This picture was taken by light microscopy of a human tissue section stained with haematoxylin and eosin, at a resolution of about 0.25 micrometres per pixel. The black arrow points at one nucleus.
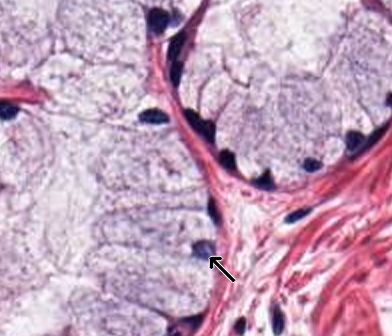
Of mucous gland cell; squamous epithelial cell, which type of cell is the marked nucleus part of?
mucous gland cell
